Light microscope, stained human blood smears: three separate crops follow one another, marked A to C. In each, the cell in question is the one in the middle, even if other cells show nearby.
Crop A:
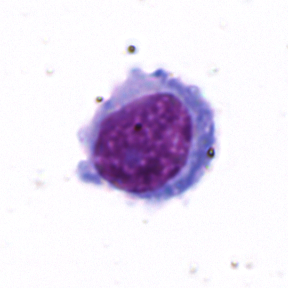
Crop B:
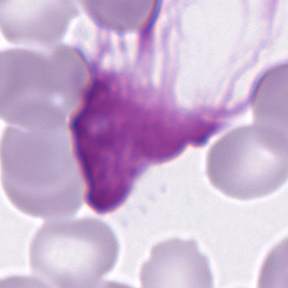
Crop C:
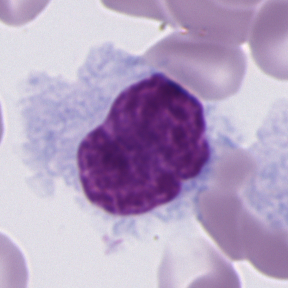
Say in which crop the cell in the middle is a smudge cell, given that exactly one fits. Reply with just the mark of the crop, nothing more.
B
